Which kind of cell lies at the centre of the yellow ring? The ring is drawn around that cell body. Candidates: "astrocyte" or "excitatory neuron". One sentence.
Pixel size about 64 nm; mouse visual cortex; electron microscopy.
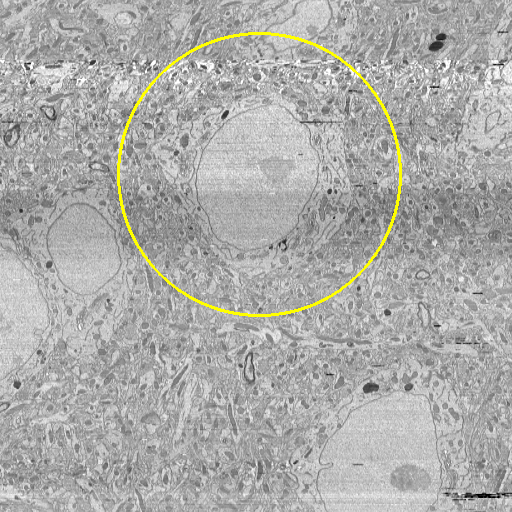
Lying at the centre of the ring is an excitatory neuron.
